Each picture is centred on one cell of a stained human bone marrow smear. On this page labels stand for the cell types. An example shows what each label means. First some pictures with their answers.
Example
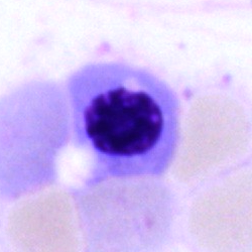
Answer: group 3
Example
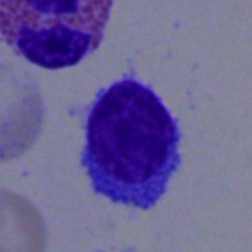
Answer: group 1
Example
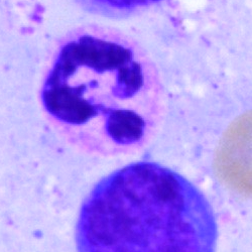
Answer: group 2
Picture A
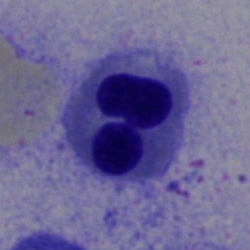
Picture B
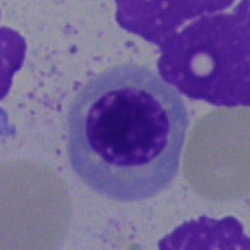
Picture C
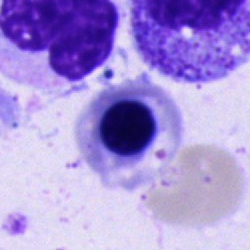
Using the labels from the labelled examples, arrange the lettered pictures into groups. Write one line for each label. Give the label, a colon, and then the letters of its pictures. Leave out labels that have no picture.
group 3: A, B, C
